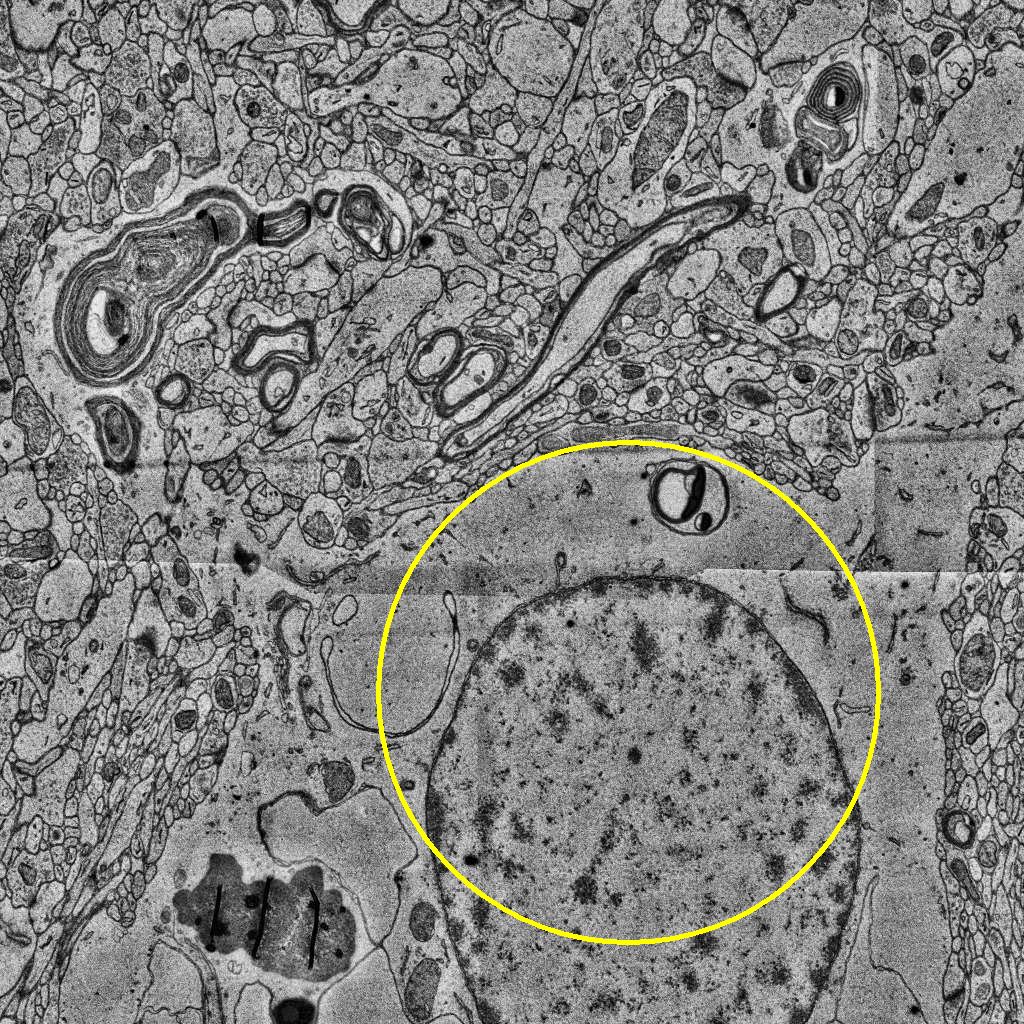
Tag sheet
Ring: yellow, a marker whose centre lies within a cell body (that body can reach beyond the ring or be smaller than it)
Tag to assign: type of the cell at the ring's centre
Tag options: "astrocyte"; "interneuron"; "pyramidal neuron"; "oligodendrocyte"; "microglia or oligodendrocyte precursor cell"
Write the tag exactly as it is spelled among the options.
astrocyte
